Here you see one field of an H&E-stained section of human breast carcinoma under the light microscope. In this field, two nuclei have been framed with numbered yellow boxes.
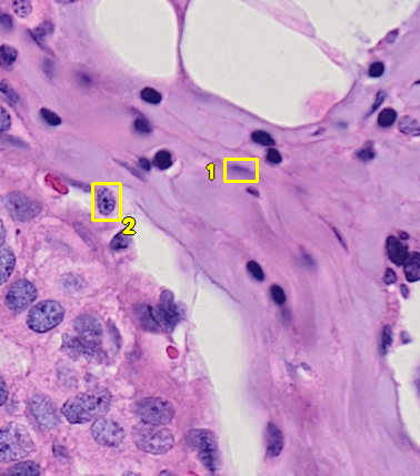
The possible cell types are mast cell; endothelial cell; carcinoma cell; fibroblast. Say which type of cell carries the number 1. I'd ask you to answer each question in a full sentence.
The numbered cell 1 is identified here as a fibroblast.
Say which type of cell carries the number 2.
Within this field of view, the cell labelled 2 is a mast cell.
